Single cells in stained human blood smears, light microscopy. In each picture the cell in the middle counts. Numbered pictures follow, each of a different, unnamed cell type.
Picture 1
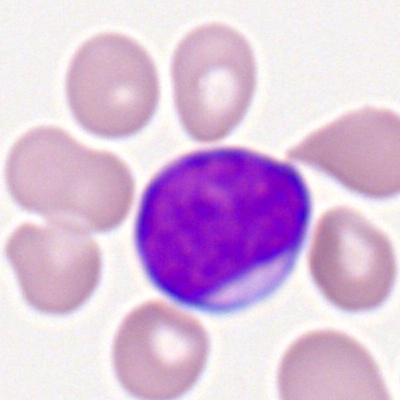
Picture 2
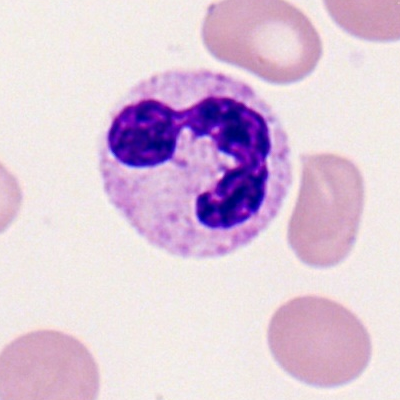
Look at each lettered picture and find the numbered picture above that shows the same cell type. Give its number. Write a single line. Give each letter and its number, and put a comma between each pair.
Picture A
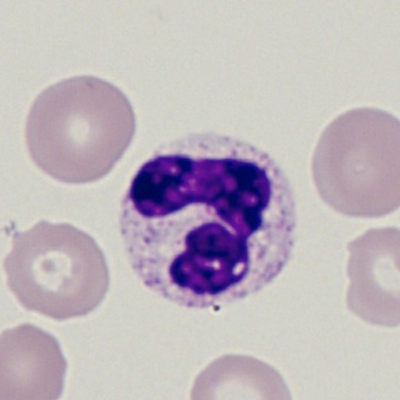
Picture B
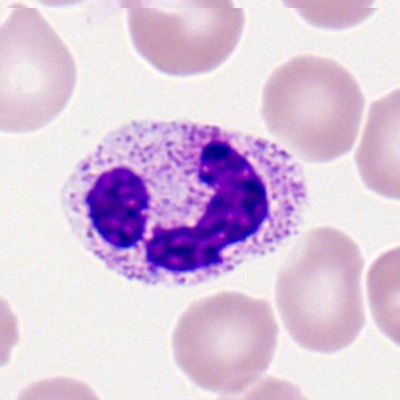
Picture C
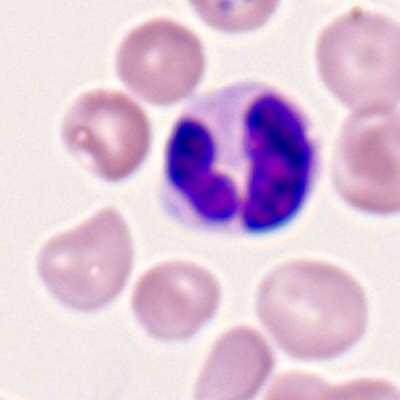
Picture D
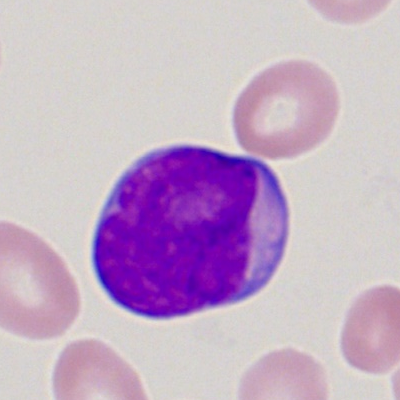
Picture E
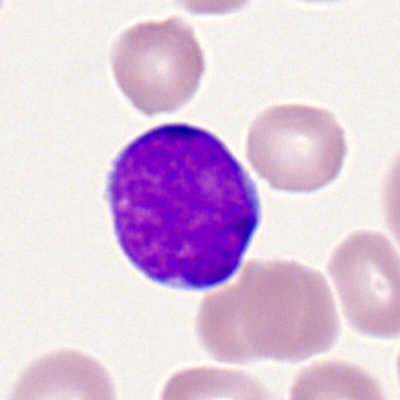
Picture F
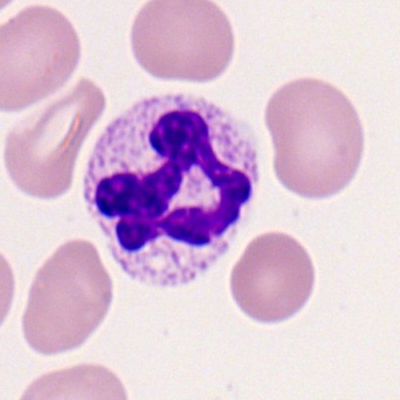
A 2, B 2, C 2, D 1, E 1, F 2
